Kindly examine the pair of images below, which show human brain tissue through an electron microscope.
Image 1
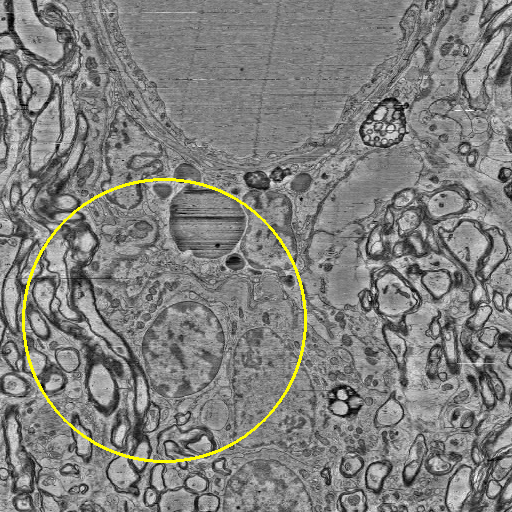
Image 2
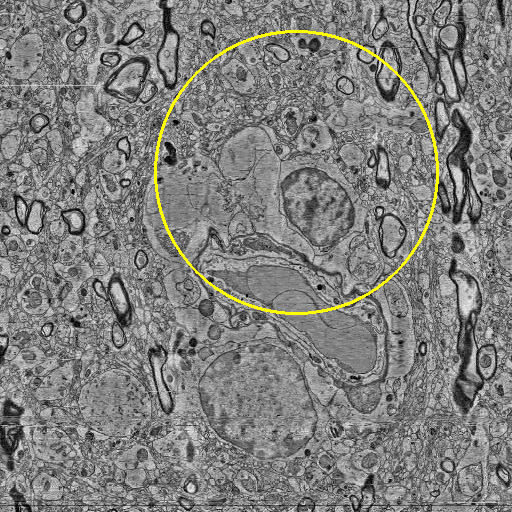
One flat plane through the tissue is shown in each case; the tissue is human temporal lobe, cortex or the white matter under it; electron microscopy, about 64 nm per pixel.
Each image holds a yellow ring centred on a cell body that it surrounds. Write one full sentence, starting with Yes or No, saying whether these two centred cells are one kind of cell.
Yes, both cells at the centres of the yellow rings belong to one kind of cell.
